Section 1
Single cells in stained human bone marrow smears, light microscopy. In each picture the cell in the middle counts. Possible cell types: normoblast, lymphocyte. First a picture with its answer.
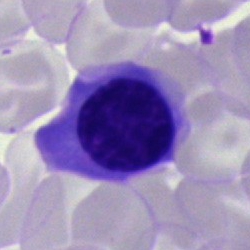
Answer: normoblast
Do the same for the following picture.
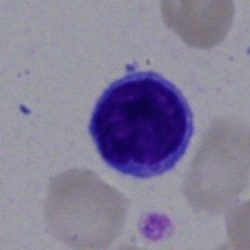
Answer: lymphocyte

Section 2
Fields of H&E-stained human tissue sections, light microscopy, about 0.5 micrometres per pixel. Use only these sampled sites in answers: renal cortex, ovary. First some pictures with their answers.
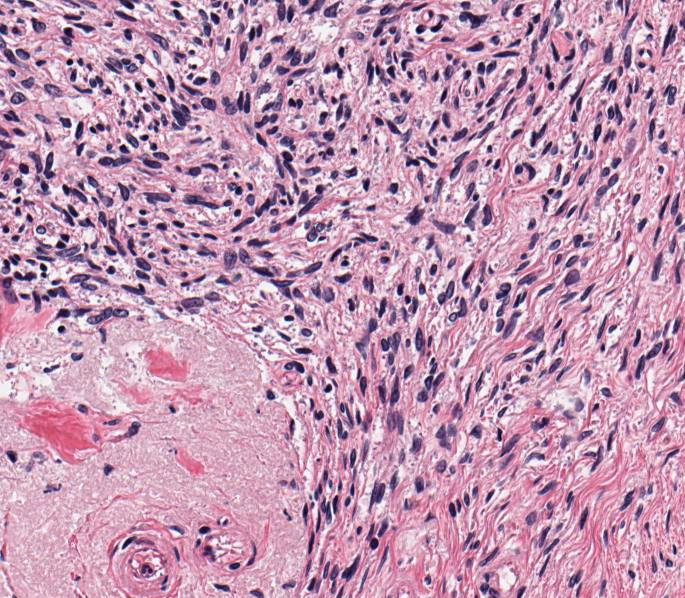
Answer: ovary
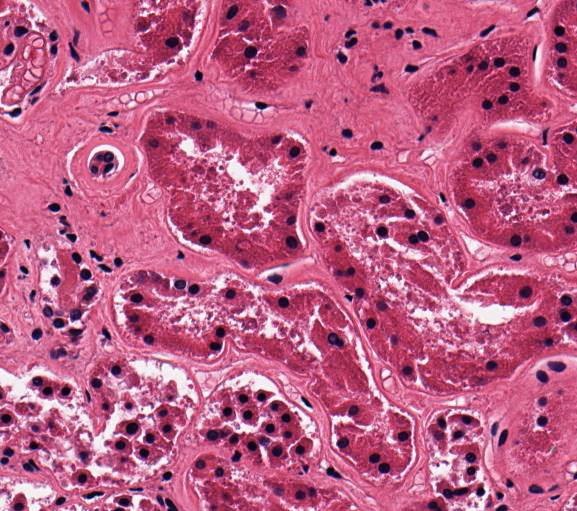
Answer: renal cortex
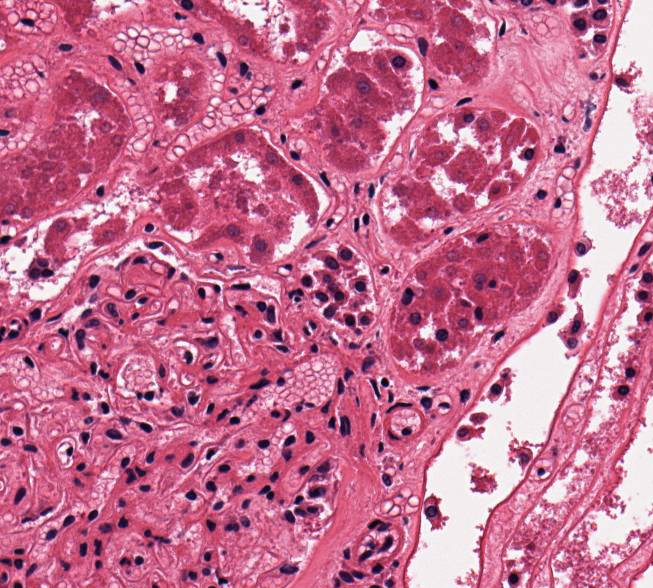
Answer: renal cortex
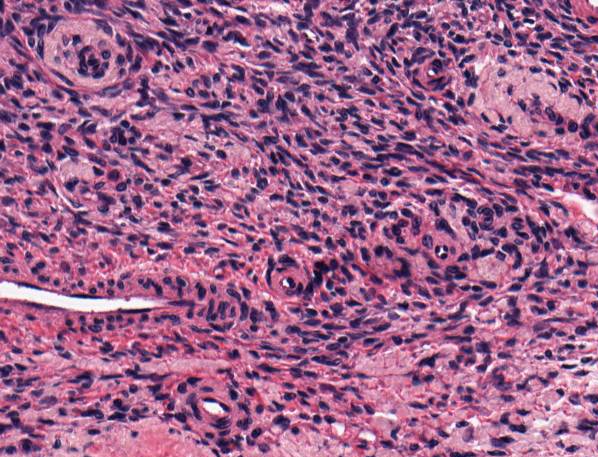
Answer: ovary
